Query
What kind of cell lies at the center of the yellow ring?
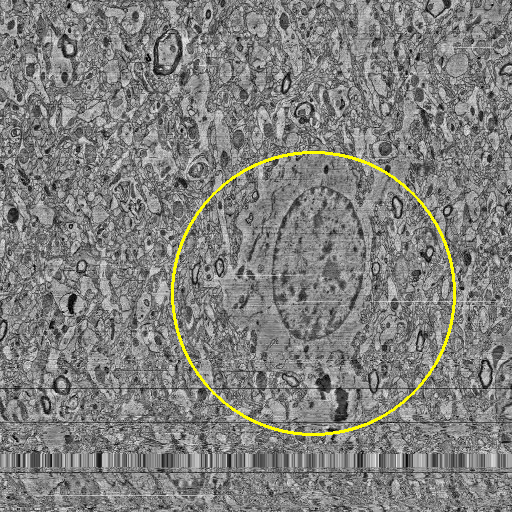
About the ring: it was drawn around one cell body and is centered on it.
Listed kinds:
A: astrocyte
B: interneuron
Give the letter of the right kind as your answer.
A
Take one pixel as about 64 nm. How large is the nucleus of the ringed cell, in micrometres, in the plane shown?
Roughly 10 micrometres long and 7 micrometres wide; in this plane the nucleus is clearly longer than it is wide.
